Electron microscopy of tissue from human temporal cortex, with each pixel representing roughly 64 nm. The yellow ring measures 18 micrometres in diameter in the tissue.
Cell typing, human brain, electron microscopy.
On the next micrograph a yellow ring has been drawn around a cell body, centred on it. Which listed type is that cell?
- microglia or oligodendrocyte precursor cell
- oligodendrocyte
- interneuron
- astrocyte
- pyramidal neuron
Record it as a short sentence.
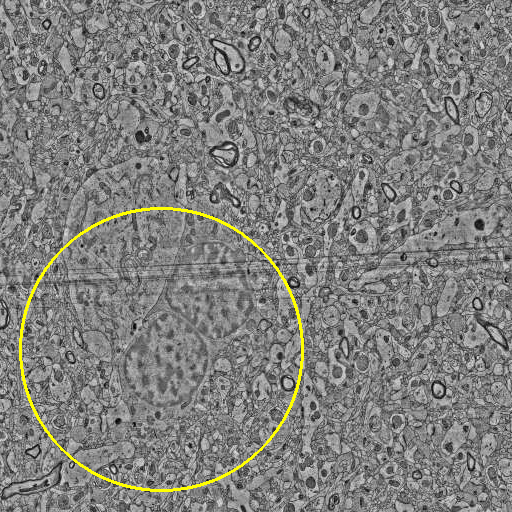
The cell body in the ring's centre belongs to an oligodendrocyte.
